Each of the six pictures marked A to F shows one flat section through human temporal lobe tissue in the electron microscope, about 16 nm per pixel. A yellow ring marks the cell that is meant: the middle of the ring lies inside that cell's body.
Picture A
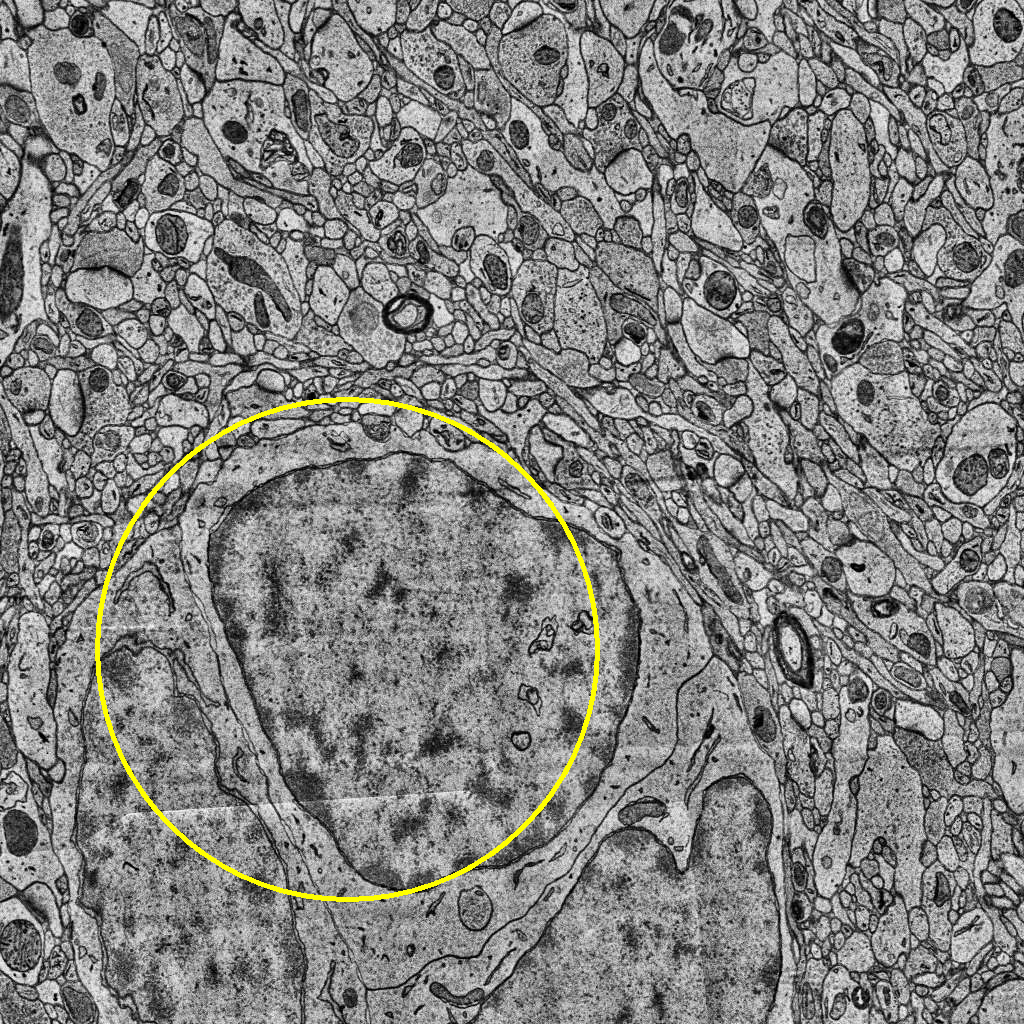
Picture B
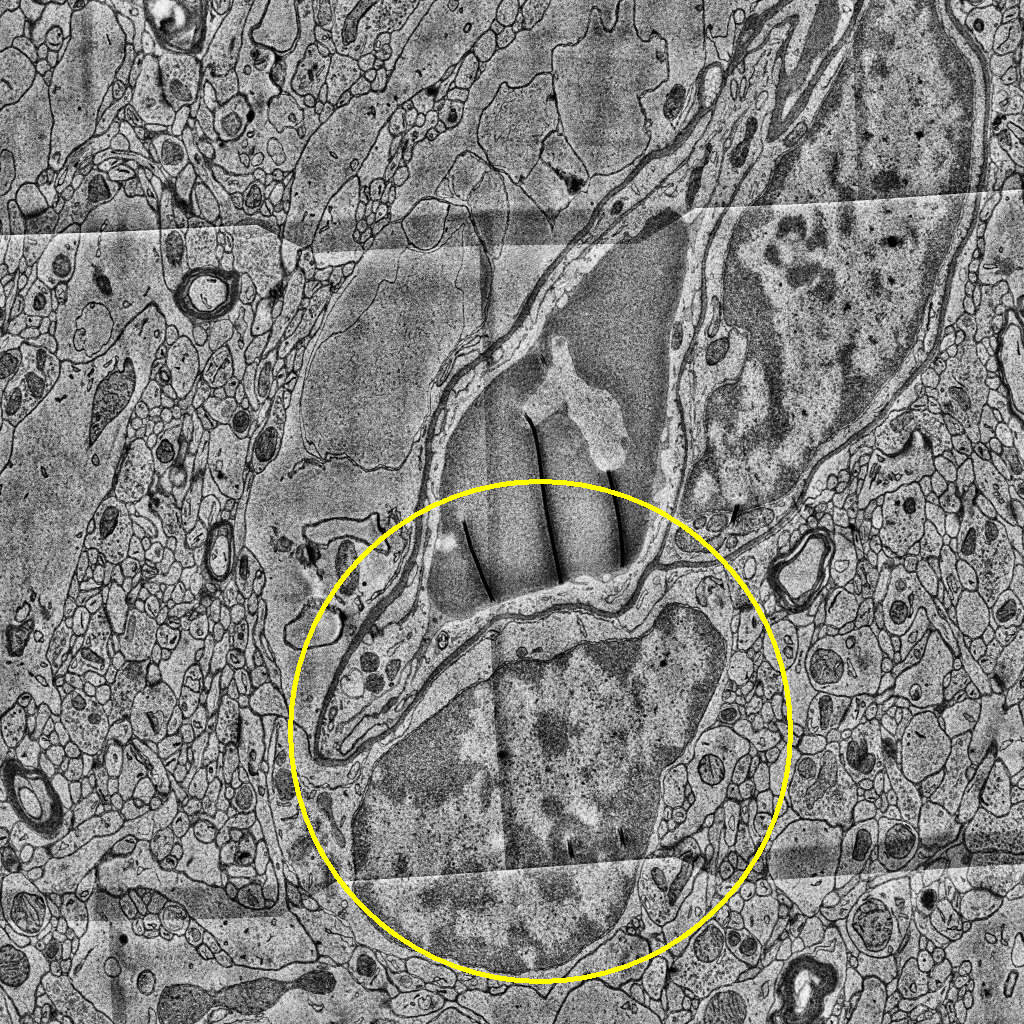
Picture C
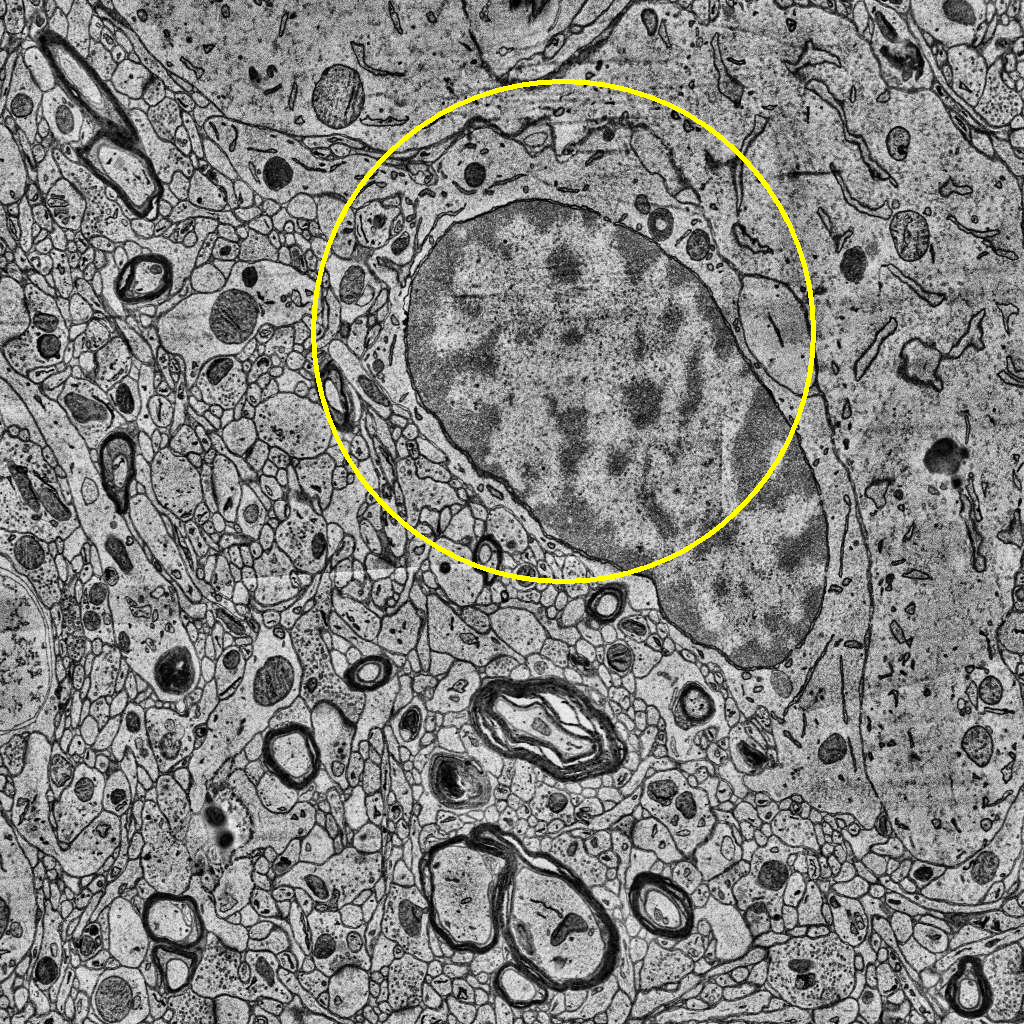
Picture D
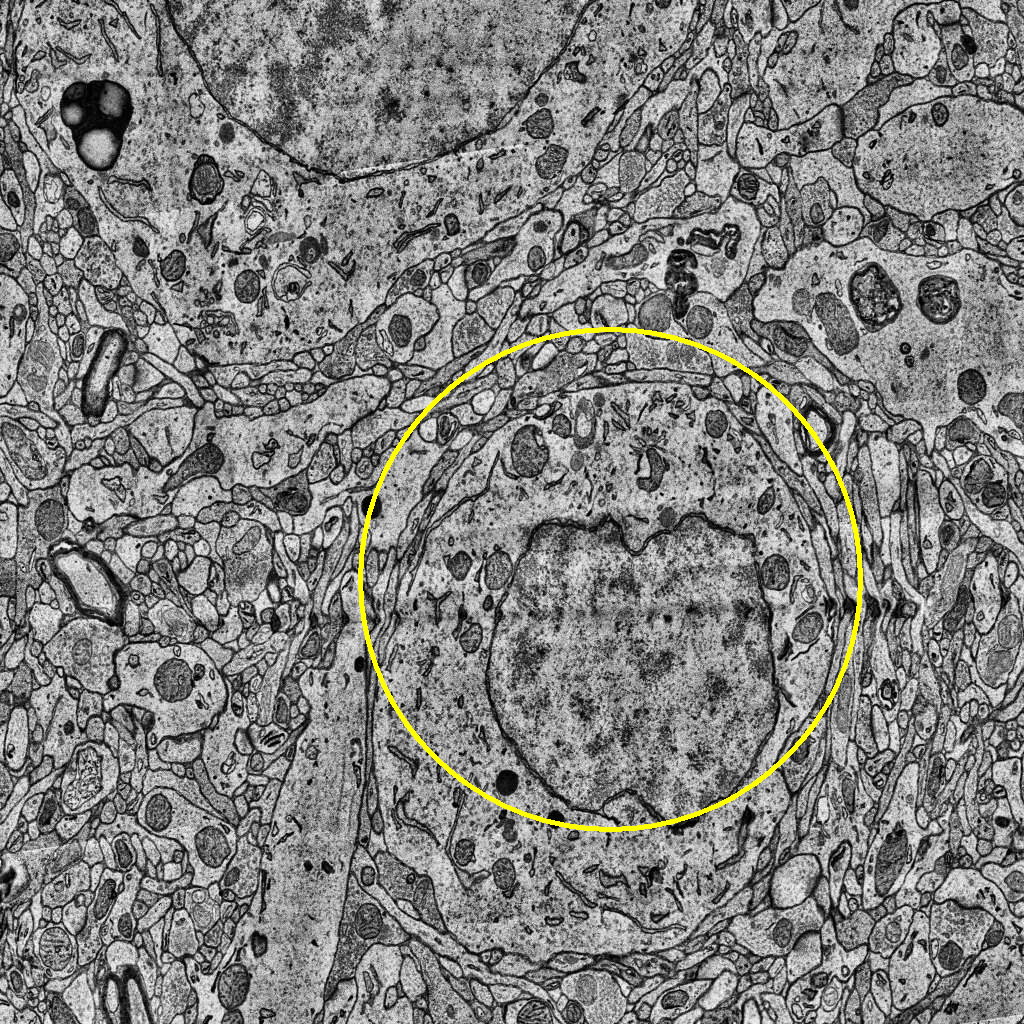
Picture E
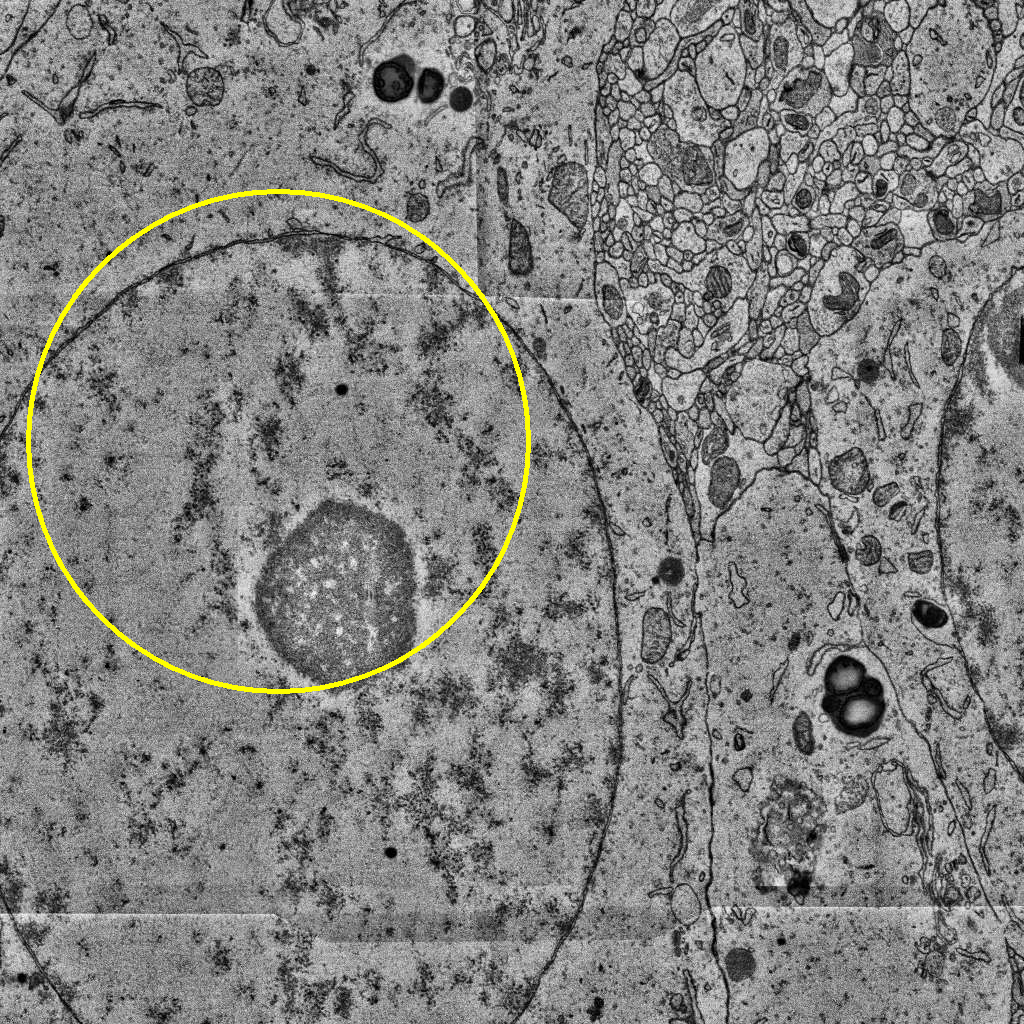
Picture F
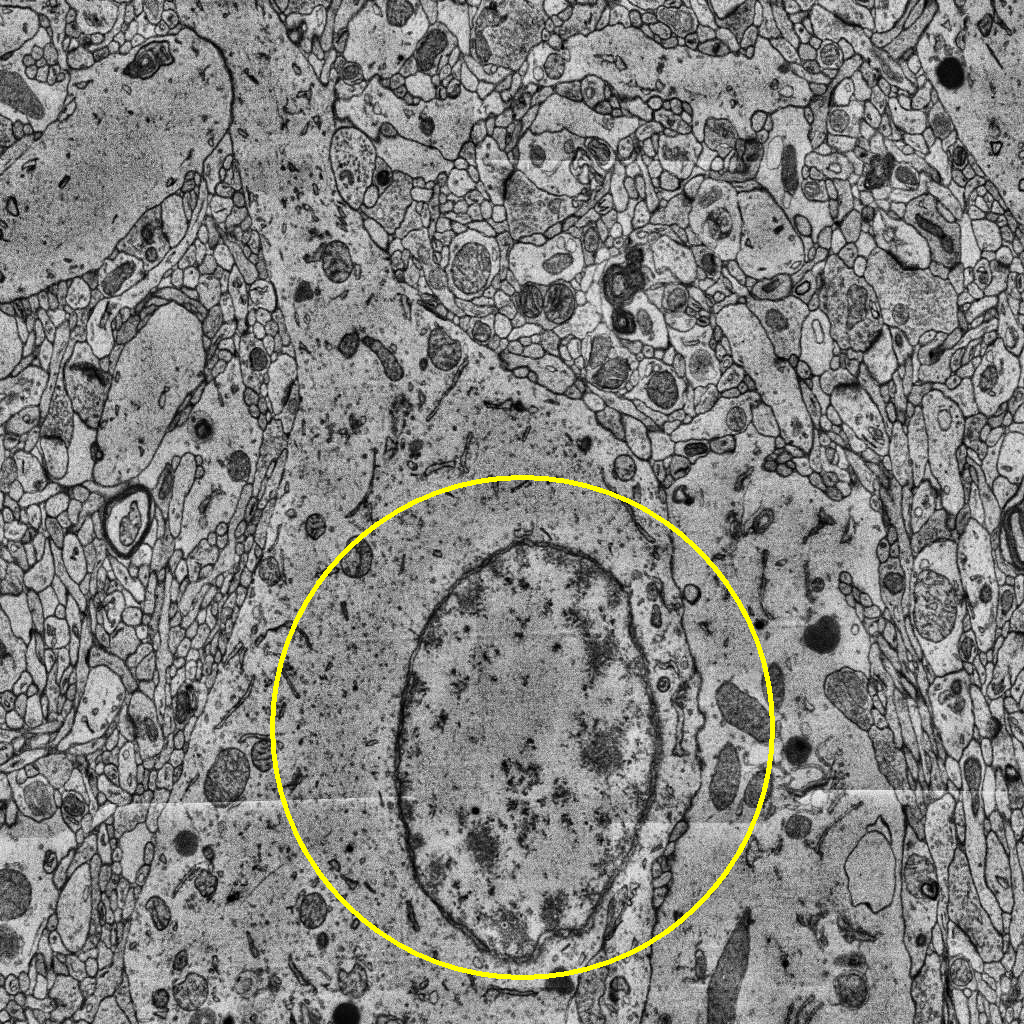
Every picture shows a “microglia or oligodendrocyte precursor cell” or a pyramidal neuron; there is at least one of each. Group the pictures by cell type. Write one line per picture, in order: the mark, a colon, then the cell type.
A: microglia or oligodendrocyte precursor cell
B: microglia or oligodendrocyte precursor cell
C: microglia or oligodendrocyte precursor cell
D: pyramidal neuron
E: pyramidal neuron
F: pyramidal neuron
